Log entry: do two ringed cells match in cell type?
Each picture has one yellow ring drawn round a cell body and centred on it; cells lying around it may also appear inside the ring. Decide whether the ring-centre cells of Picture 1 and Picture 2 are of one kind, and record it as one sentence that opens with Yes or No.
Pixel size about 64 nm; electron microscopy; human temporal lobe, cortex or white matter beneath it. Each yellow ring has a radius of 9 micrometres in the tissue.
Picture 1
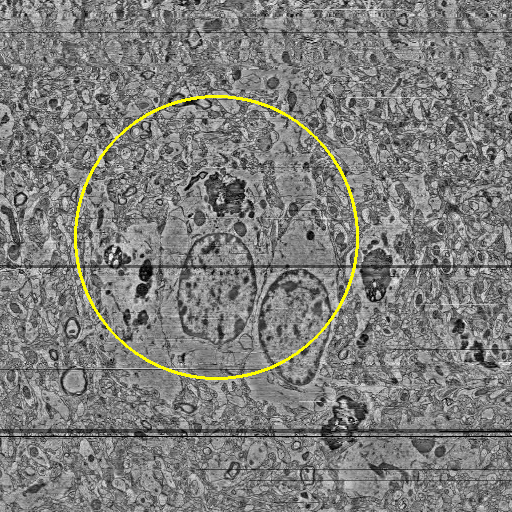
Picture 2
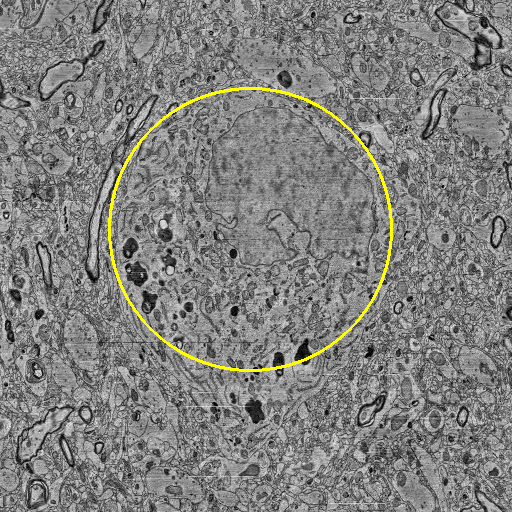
No, the cells at the ring centres of the two pictures belong to two kinds.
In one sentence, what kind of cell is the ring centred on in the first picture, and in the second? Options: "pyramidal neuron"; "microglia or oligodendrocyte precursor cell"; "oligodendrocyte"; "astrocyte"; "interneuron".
The cell at the centre of the second ring is an interneuron; the first ring's cell is an astrocyte.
